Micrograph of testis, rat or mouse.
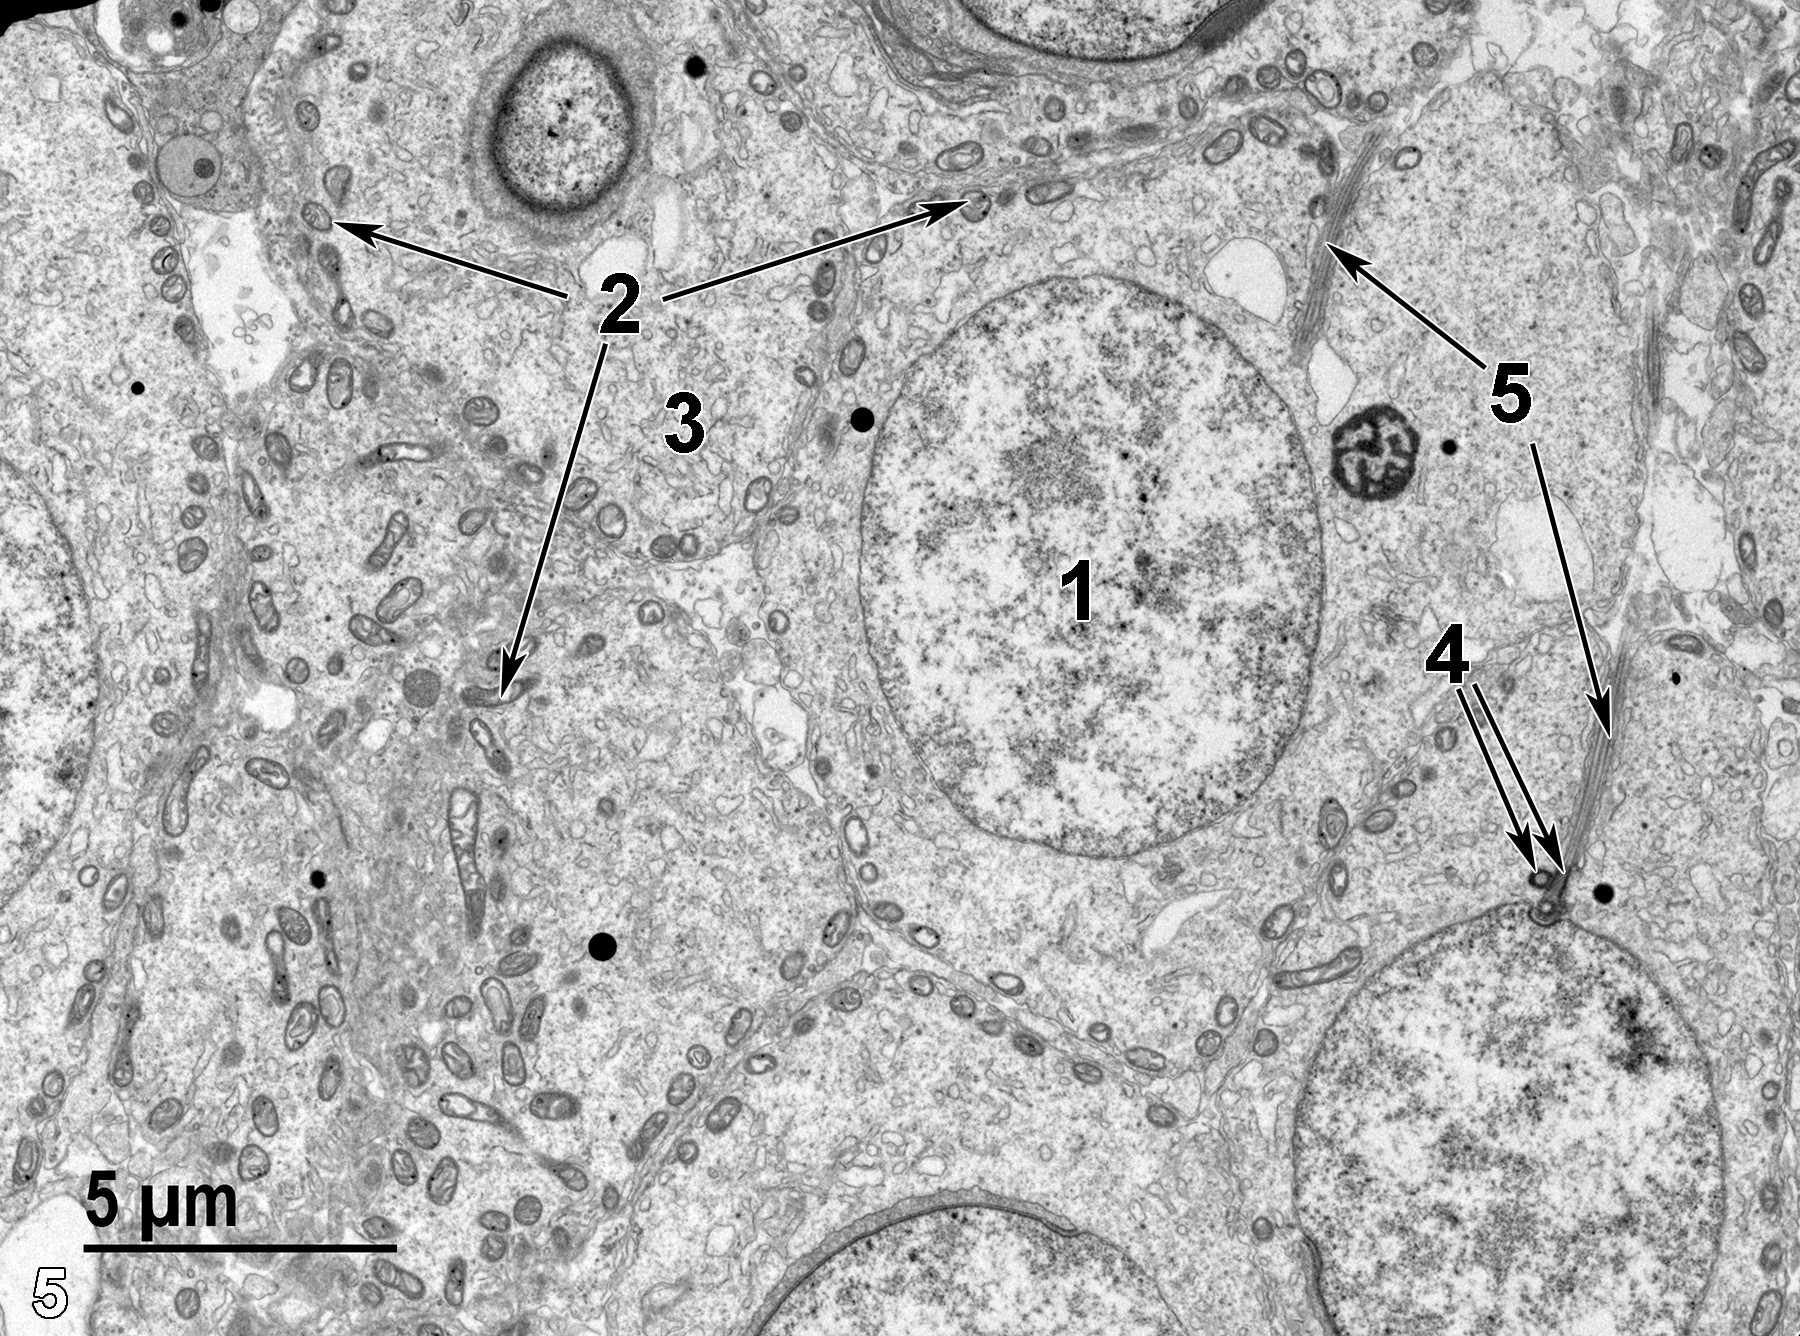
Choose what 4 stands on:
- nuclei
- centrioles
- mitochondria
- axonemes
centrioles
